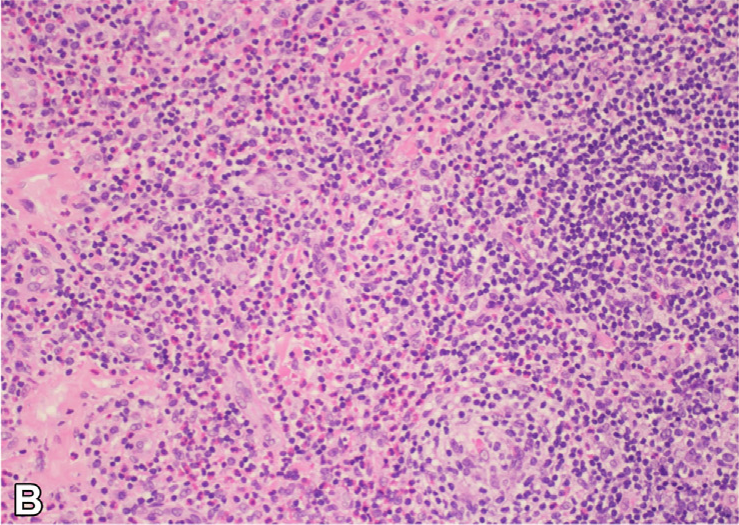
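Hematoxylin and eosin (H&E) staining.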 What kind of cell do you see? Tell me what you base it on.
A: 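Many cells have bright pink-red cytoplasm. These cells are scattered among small round dark-nucleated cells. Some of the pink cells show lobed nuclei.
Hence: eosinophils.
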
